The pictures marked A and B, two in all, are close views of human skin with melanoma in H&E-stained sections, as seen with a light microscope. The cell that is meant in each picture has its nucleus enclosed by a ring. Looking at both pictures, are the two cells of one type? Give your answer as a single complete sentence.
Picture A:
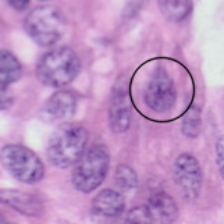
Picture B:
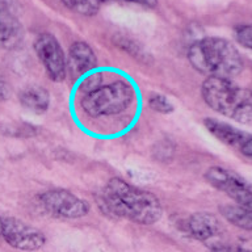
Yes, both are melanoma cells.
